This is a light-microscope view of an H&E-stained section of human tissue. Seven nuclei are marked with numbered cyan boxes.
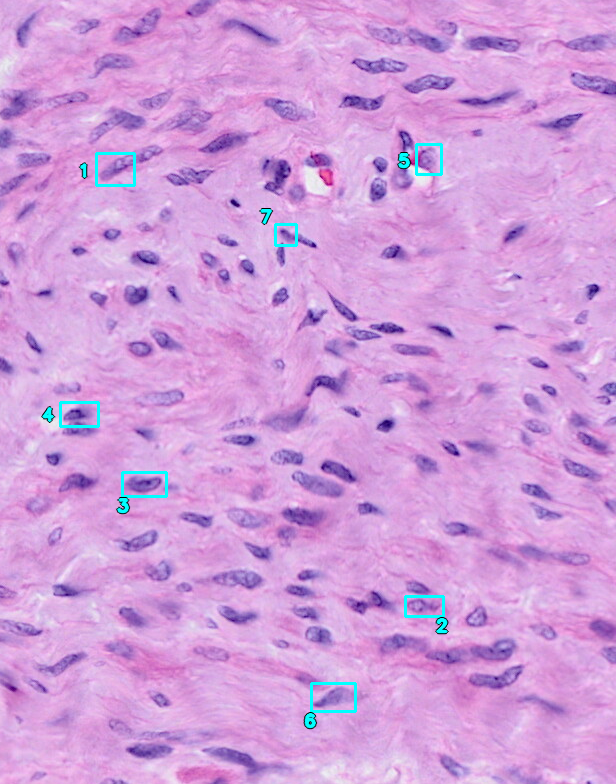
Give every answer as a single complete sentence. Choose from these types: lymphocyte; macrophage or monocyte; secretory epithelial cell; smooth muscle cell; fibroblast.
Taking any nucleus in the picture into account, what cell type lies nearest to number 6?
The cell nearest to number 6 is a smooth muscle cell.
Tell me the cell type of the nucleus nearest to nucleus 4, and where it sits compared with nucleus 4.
Lying below nucleus 4, the nearest nucleus is that of a fibroblast.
